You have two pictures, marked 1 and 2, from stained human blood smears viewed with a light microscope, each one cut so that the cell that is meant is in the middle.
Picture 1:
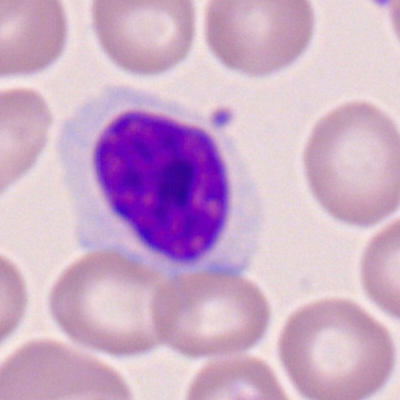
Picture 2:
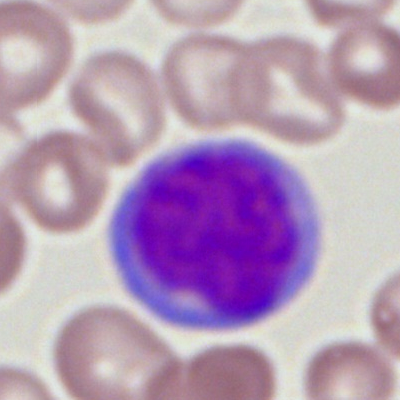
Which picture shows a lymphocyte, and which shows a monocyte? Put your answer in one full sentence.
The cell in picture 1 is a lymphocyte, and the one in picture 2 is a monocyte.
